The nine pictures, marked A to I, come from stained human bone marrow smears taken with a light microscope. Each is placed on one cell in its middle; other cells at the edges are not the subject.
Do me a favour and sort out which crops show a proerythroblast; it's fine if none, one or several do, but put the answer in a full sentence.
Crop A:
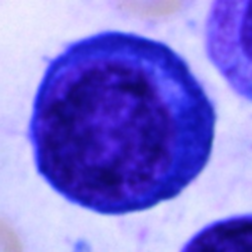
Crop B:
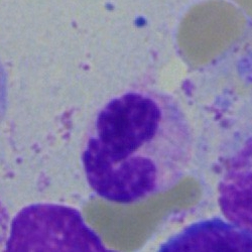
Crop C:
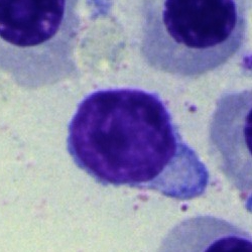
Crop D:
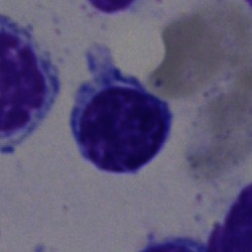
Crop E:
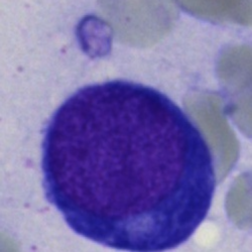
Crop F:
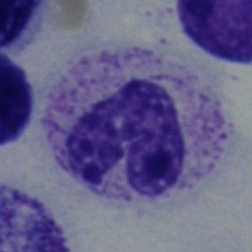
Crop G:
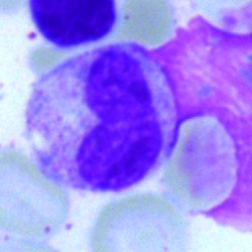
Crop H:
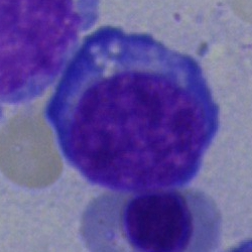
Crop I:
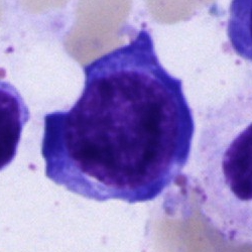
Crops A, E, H and I hold proerythroblasts in the centre of the field.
